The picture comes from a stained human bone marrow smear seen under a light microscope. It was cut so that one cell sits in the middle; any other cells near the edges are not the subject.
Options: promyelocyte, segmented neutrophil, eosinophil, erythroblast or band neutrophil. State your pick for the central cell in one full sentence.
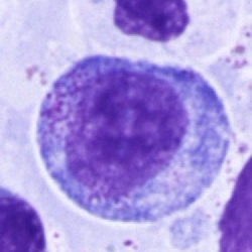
Answering briefly, the cell in the middle is a promyelocyte.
